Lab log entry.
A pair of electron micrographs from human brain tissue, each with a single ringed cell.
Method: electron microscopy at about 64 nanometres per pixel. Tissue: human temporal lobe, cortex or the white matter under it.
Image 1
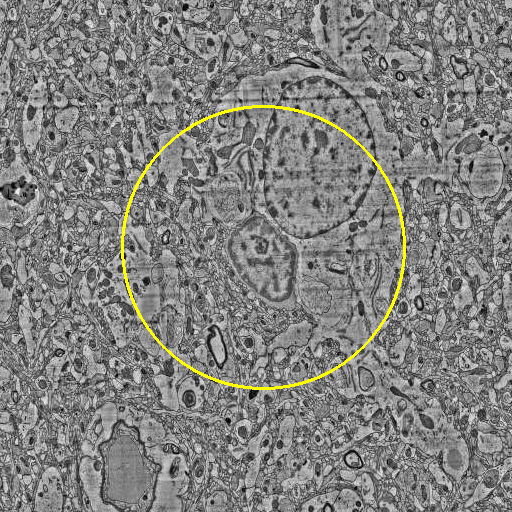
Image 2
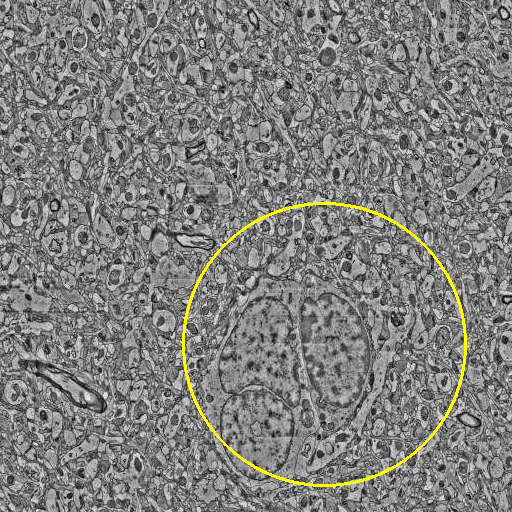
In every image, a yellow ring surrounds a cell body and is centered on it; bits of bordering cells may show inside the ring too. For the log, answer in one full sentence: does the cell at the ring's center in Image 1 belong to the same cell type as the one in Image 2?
Yes, the cells at the ring centers in Image 1 and Image 2 share one type.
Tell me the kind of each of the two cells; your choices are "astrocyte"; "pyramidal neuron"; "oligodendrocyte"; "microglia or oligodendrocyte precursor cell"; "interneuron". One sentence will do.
Each of the ringed cells, first and second, is an oligodendrocyte.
